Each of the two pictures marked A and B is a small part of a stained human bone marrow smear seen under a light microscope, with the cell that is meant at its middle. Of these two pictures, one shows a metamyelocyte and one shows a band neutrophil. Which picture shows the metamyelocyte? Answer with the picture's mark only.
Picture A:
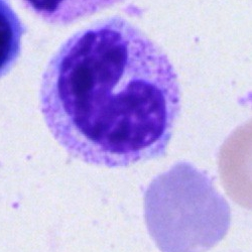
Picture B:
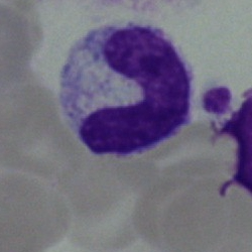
A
